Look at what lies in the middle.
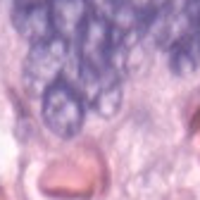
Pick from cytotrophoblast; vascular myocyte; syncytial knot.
syncytial knot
